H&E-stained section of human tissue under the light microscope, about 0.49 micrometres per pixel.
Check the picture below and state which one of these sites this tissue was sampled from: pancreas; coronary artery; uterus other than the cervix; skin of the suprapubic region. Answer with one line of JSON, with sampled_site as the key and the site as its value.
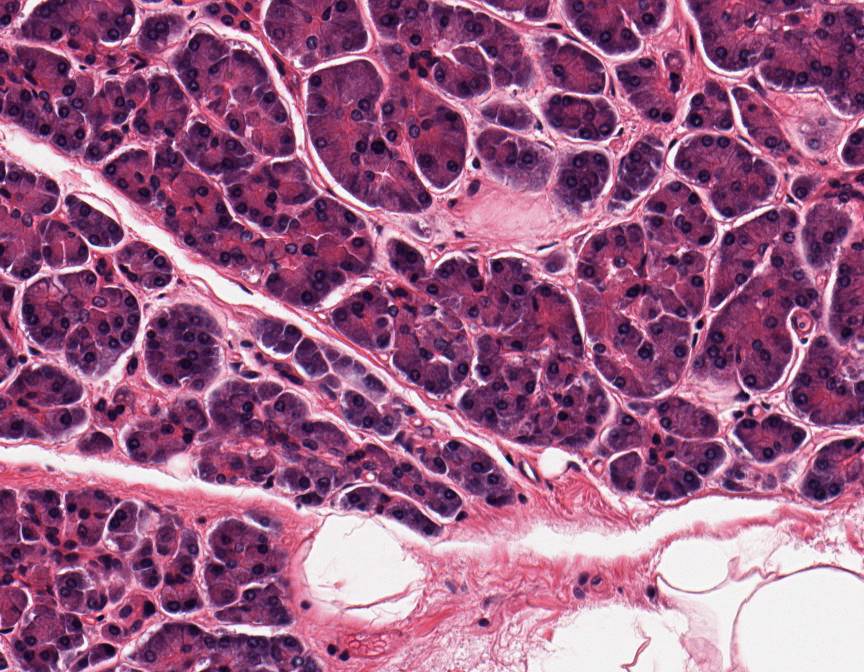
{"sampled_site": "pancreas"}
